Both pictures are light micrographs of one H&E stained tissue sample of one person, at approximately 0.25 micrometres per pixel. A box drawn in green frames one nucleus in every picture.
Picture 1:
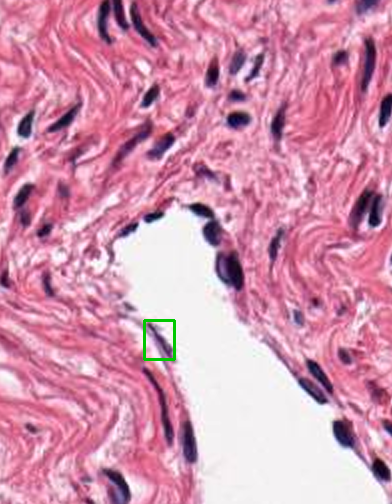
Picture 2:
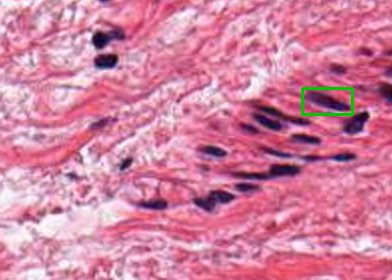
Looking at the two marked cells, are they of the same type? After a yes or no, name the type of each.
No, the first is an endothelial cell and the second a smooth muscle cell.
